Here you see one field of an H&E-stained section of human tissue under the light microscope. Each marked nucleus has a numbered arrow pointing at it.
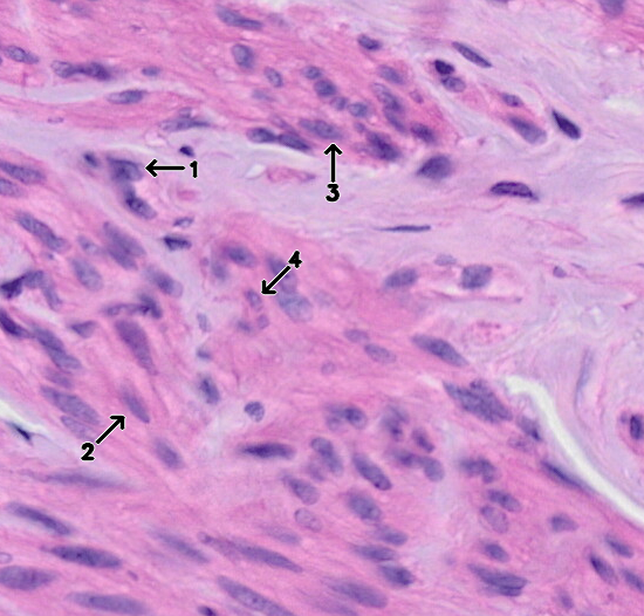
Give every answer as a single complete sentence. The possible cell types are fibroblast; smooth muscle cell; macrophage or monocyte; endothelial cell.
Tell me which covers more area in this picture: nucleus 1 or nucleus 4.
At about 3 times the area of nucleus 4, nucleus 1 is the larger of the two.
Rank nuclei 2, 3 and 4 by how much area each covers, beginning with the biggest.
Going from the biggest nucleus down to the smallest gives 2, 3, 4.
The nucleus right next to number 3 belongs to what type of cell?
The nucleus nearest to number 3 is that of a smooth muscle cell.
